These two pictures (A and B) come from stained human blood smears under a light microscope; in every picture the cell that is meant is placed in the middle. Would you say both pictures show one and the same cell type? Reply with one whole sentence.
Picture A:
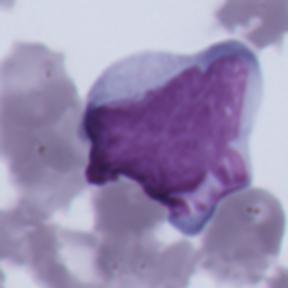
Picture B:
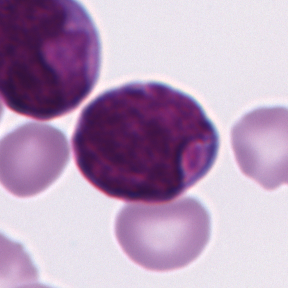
Yes, they are the same type: both are myeloblasts.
